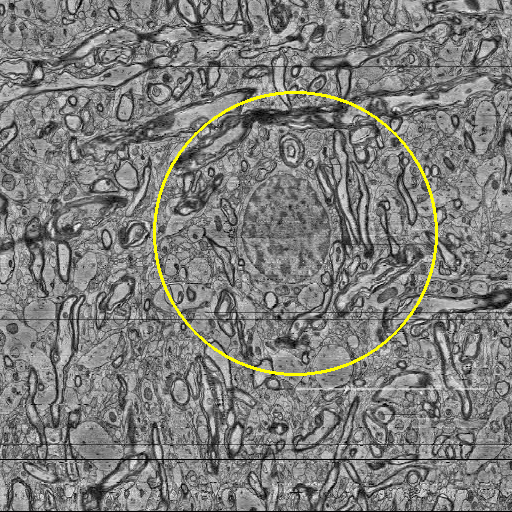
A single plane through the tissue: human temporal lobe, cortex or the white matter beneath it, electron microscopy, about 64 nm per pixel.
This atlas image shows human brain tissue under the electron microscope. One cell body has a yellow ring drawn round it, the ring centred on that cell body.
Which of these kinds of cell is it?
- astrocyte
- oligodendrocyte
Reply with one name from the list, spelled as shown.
oligodendrocyte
